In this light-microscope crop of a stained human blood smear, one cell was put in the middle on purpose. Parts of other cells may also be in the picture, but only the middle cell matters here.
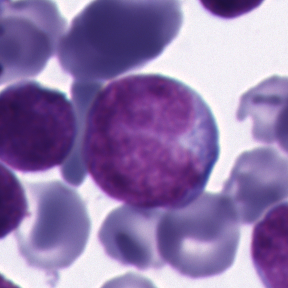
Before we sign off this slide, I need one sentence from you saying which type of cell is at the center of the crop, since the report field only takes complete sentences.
The cell at the heart of this crop is a blast.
